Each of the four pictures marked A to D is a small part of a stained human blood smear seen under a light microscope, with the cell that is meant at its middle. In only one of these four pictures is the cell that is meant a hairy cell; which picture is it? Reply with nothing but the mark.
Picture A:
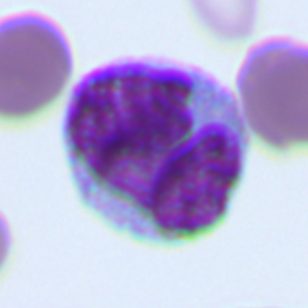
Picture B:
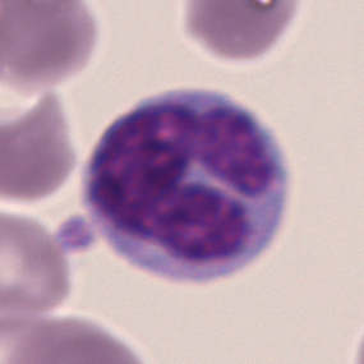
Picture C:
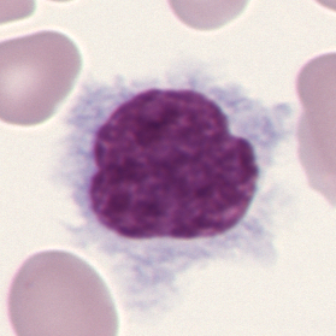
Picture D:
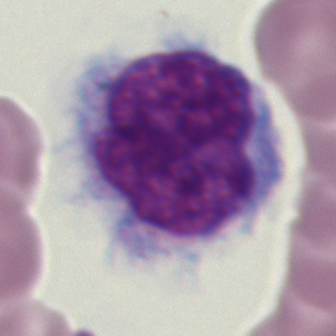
C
